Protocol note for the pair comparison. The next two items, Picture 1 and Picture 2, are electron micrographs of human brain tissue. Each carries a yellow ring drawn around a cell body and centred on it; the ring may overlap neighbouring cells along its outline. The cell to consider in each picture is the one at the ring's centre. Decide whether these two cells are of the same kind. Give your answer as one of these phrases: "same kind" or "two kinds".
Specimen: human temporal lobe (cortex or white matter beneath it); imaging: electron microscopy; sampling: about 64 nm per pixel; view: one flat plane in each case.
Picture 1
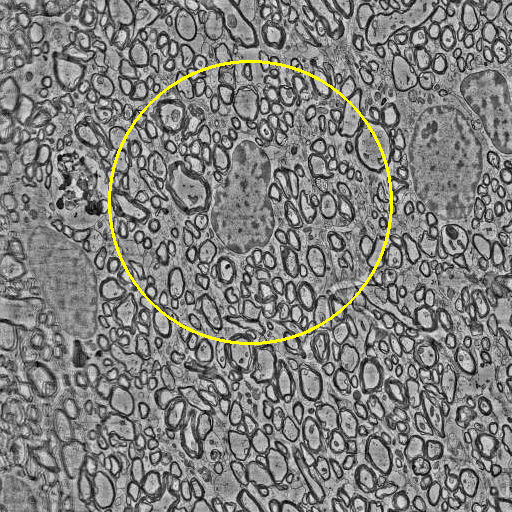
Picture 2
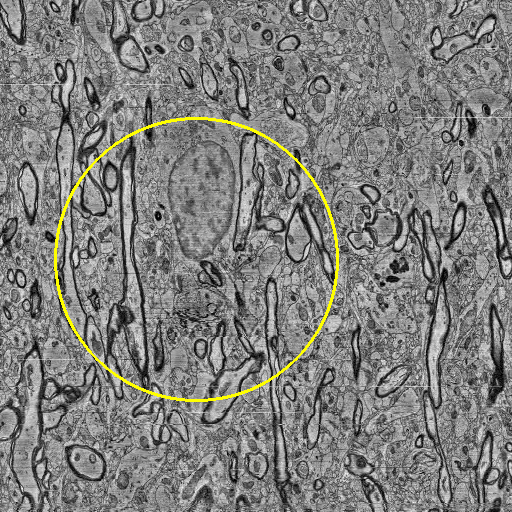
two kinds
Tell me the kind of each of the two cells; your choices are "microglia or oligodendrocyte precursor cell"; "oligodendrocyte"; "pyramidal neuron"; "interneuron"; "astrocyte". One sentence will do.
The ringed cell is a microglial cell or oligodendrocyte precursor cell in the first picture and an oligodendrocyte in the second picture.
